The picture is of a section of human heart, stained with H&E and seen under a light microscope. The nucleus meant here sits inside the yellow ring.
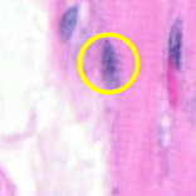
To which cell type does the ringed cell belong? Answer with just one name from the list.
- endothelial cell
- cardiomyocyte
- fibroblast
fibroblast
